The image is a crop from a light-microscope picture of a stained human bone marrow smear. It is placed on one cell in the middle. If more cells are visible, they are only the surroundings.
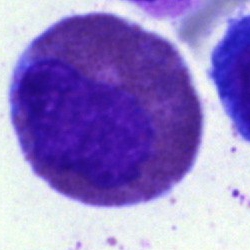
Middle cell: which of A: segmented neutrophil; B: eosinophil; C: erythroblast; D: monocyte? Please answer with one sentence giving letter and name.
Here the right option is B, as the cell in the middle is an eosinophil.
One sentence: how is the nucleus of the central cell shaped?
The nuclear material is gathered into one compact round, oval or kidney-shaped mass.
